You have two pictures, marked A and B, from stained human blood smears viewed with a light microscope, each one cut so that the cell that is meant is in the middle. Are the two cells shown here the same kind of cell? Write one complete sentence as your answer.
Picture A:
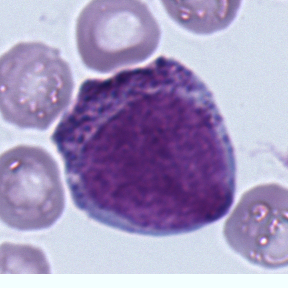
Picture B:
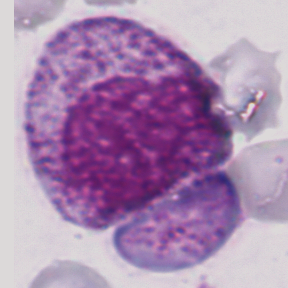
No, the types are not the same, since picture A shows a promyelocyte and picture B a myelocyte.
